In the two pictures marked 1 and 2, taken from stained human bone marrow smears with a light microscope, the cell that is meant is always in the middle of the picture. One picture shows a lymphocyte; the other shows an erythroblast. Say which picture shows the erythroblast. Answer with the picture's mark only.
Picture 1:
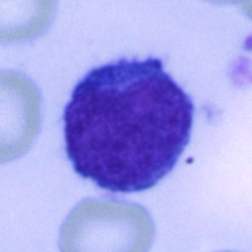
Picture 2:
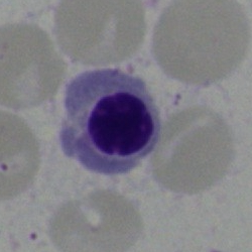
2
